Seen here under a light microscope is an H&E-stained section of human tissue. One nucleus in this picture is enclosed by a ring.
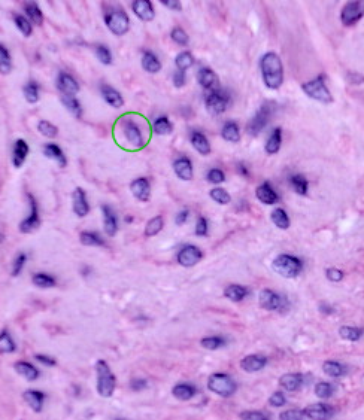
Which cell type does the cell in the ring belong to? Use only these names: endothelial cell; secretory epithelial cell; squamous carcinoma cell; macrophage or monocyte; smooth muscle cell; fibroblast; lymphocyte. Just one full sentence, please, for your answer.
For the purposes of cell typing, the cell in the ring is categorized as a smooth muscle cell.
